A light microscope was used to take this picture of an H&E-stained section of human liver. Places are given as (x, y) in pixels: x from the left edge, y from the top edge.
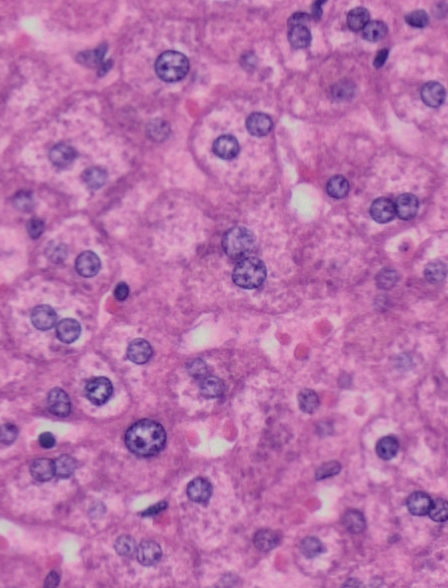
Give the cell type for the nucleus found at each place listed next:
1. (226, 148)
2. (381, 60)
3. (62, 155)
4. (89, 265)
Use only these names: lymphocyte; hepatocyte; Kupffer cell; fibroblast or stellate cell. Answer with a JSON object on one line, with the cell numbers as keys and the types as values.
{"1": "hepatocyte", "2": "fibroblast or stellate cell", "3": "hepatocyte", "4": "hepatocyte"}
